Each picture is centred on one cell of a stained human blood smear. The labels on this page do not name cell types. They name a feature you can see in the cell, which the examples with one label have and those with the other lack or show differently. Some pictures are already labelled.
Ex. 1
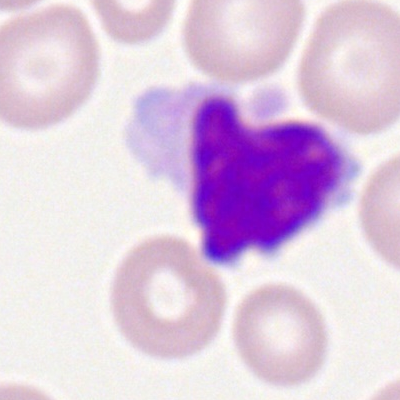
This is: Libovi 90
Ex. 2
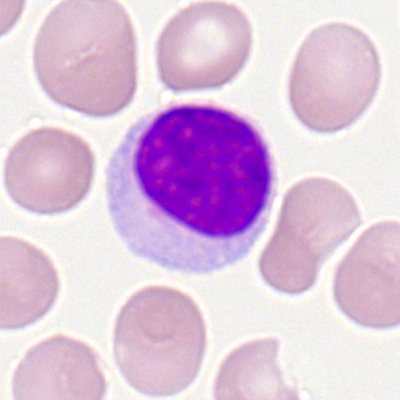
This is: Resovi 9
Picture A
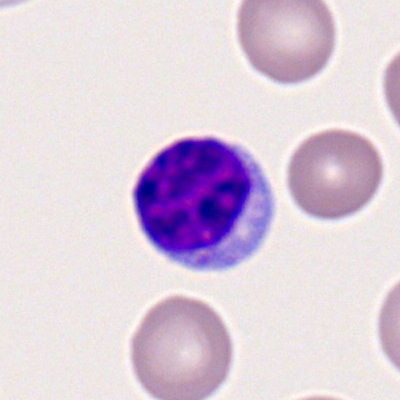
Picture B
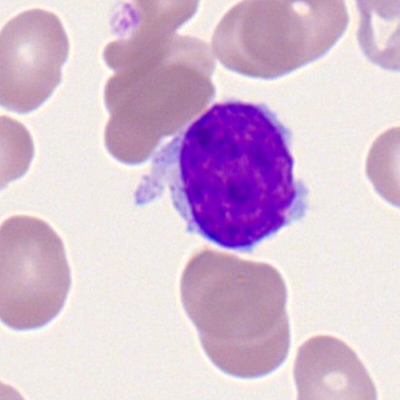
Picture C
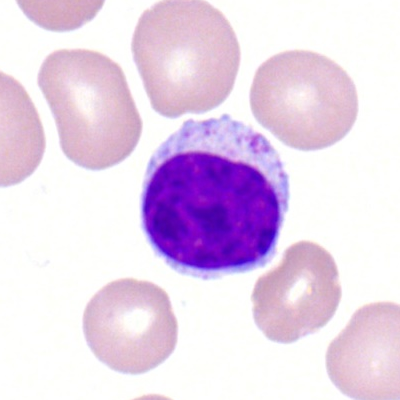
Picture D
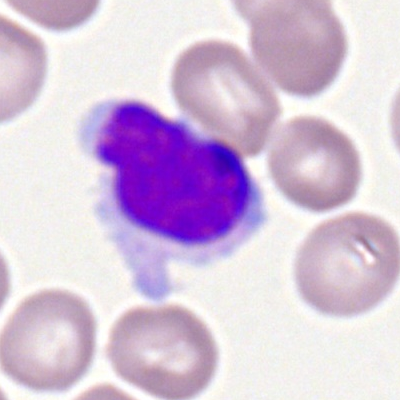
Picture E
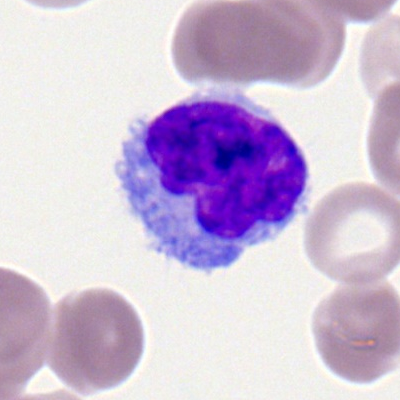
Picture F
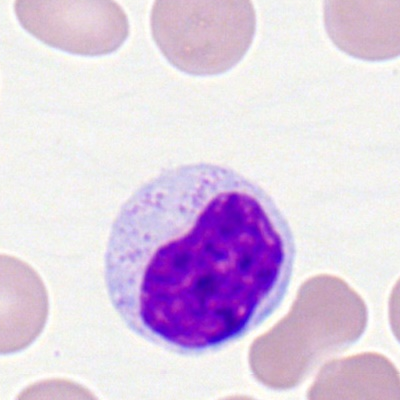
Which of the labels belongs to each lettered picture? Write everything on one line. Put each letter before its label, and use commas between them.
A Resovi 9, B Libovi 90, C Resovi 9, D Libovi 90, E Libovi 90, F Resovi 9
